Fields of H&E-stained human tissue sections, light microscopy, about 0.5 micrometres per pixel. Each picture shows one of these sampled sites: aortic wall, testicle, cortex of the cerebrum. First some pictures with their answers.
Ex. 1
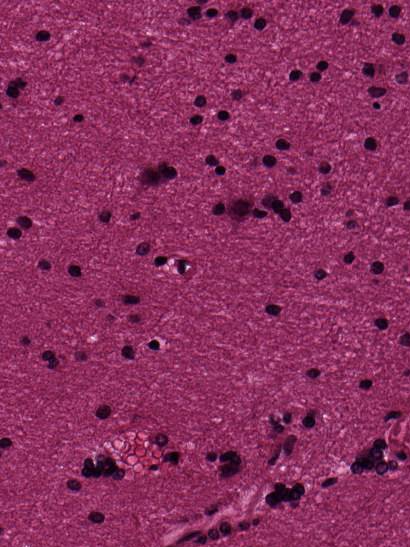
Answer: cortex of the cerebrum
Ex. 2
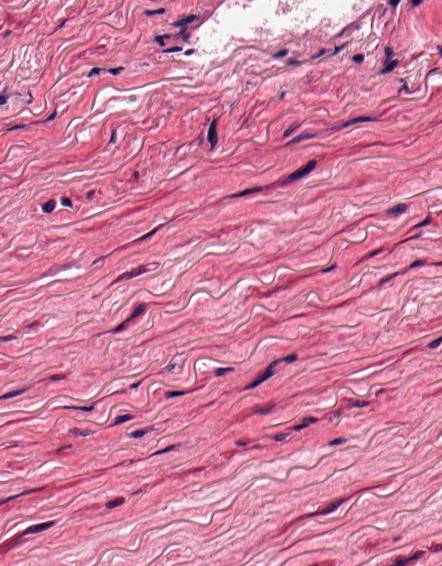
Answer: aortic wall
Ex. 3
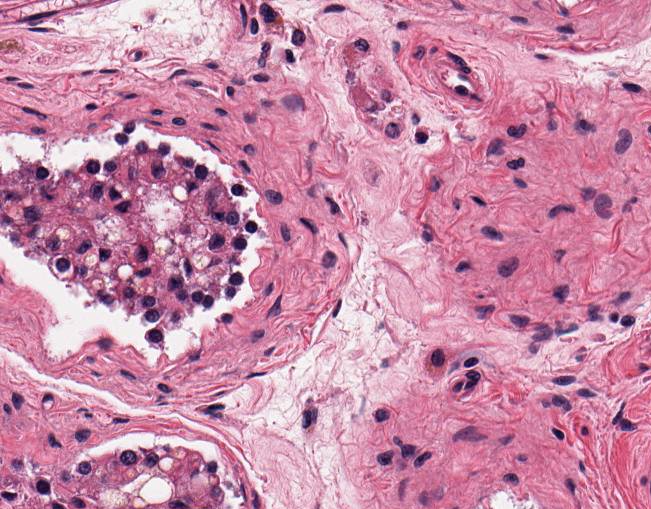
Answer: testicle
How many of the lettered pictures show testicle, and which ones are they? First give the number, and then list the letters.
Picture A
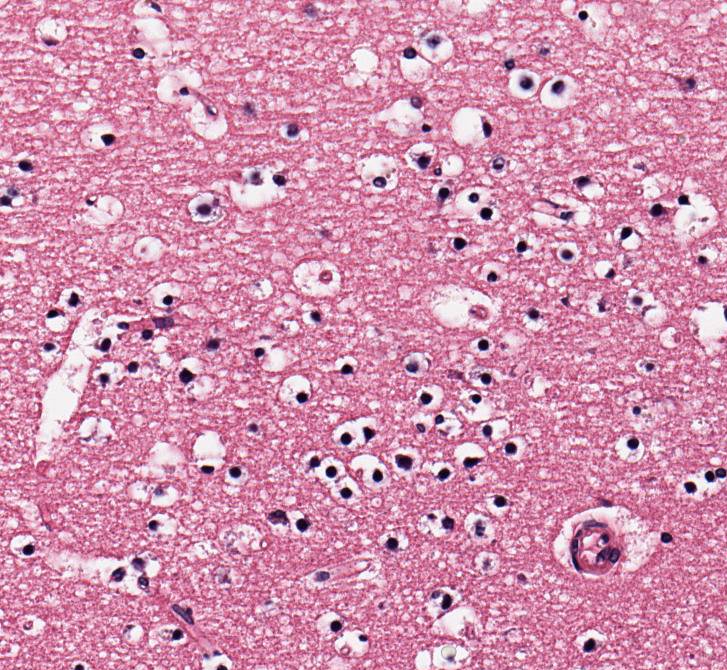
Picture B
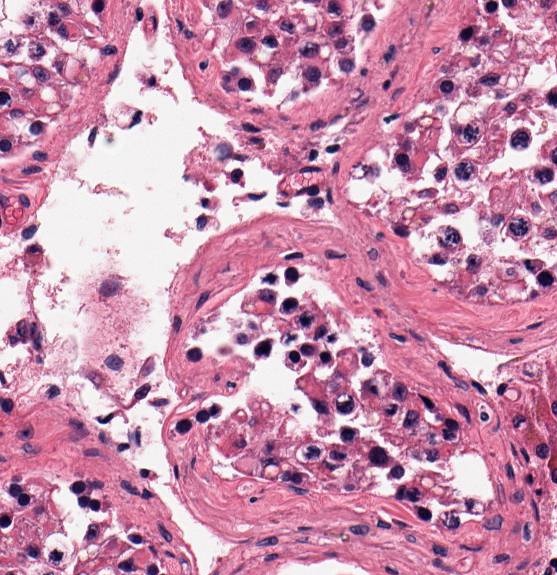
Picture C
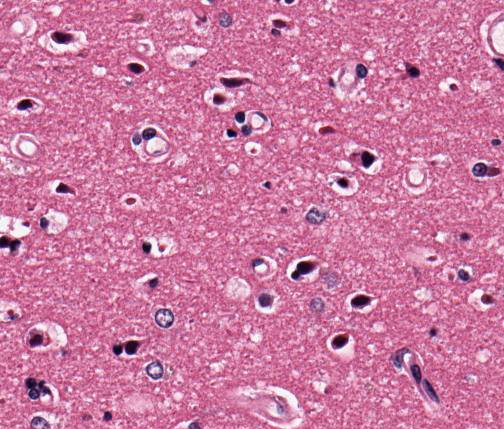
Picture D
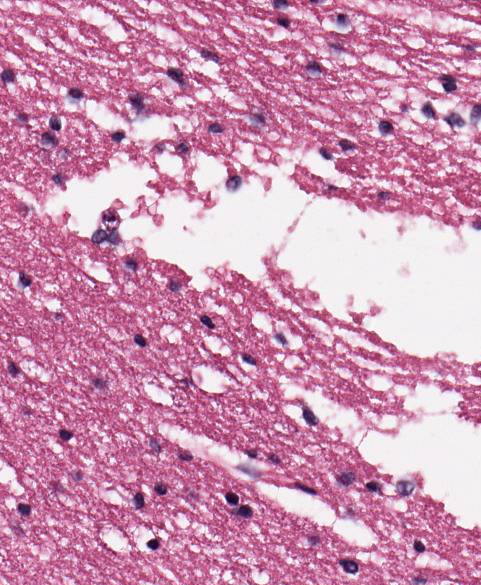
Count: 1 (B)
